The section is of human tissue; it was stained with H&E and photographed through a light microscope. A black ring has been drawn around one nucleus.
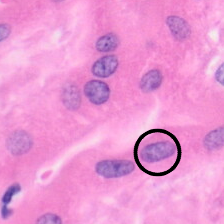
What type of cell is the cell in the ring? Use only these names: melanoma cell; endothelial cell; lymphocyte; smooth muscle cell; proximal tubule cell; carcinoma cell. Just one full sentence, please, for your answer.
In this field of tissue, the cell in the ring is a proximal tubule cell.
